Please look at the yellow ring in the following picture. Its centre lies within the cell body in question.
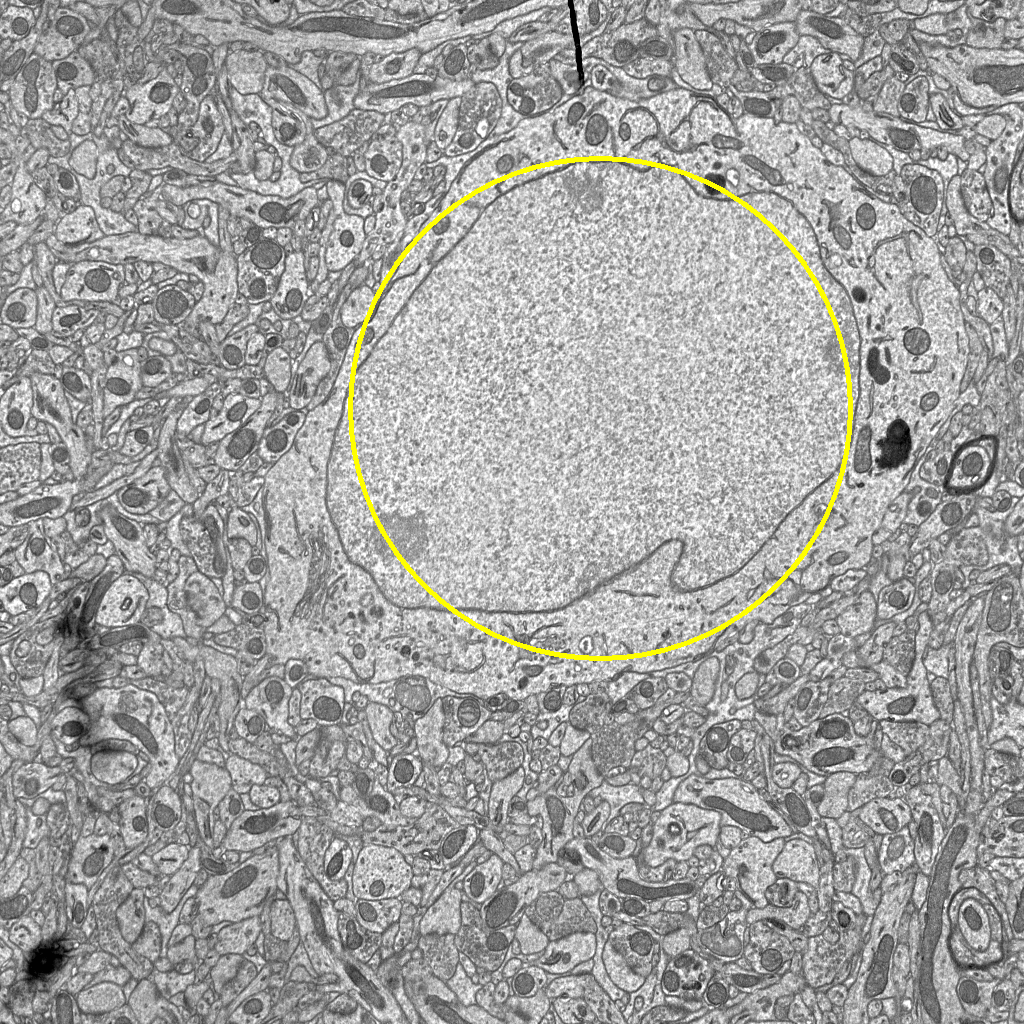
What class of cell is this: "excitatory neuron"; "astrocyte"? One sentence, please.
The centre of the ring lies in the cell body of an excitatory neuron.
